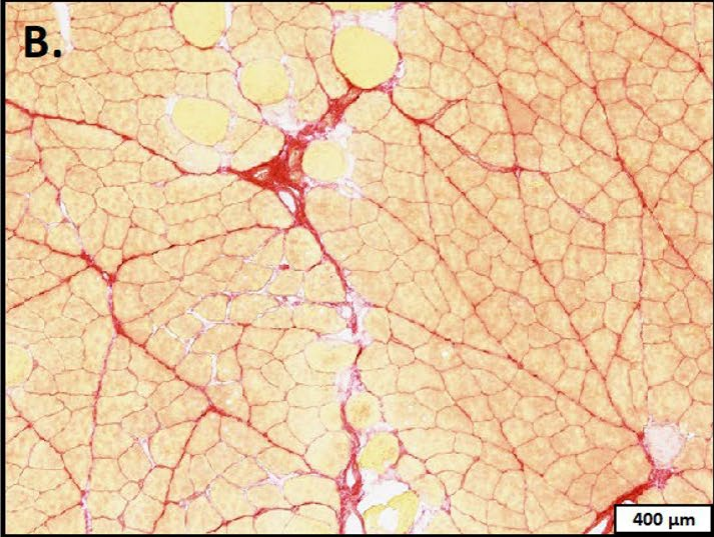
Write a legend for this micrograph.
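Skeletal muscle in cross-section, with polygonal muscle fibers stained yellow-orange and outlined by red collagen lines. Red collagen septa divide the fibers into fascicles. Where several septa meet near the top, the collagen forms a dense, deep red mass. The fibers next to this septum appear smaller and more loosely spaced than those elsewhere.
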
